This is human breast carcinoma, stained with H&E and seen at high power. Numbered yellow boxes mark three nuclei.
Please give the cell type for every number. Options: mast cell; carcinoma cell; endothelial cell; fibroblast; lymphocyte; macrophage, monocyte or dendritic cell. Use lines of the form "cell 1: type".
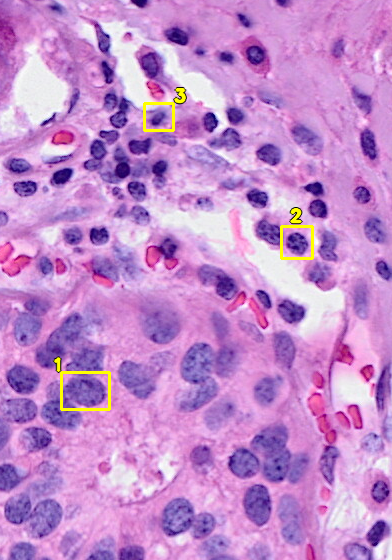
cell 1: carcinoma cell
cell 2: mast cell
cell 3: lymphocyte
